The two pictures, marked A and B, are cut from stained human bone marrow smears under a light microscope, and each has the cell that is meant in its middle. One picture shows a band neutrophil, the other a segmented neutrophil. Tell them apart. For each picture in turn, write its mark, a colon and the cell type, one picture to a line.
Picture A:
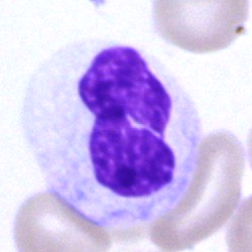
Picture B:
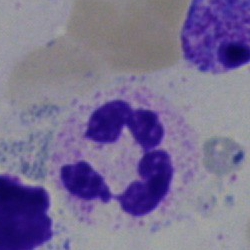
A: band neutrophil
B: segmented neutrophil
